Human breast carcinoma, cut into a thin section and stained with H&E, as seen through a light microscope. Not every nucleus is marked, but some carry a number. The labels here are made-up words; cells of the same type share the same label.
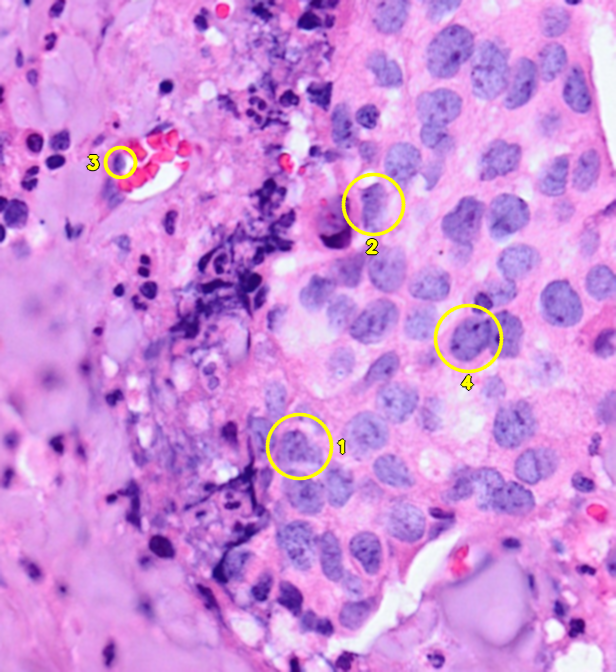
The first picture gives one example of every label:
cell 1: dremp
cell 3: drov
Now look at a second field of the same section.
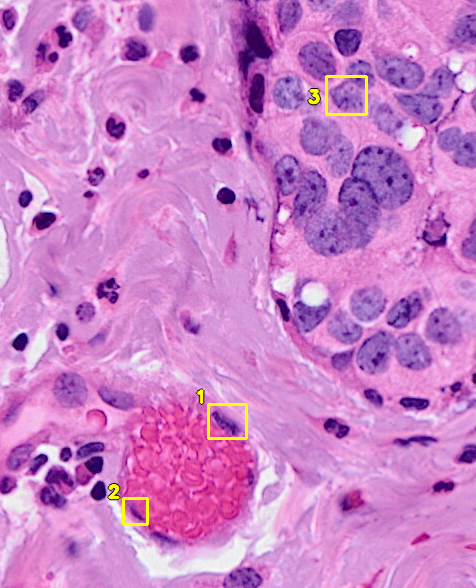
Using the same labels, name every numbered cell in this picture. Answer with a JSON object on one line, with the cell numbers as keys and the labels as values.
{"1": "drov", "2": "drov", "3": "dremp"}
